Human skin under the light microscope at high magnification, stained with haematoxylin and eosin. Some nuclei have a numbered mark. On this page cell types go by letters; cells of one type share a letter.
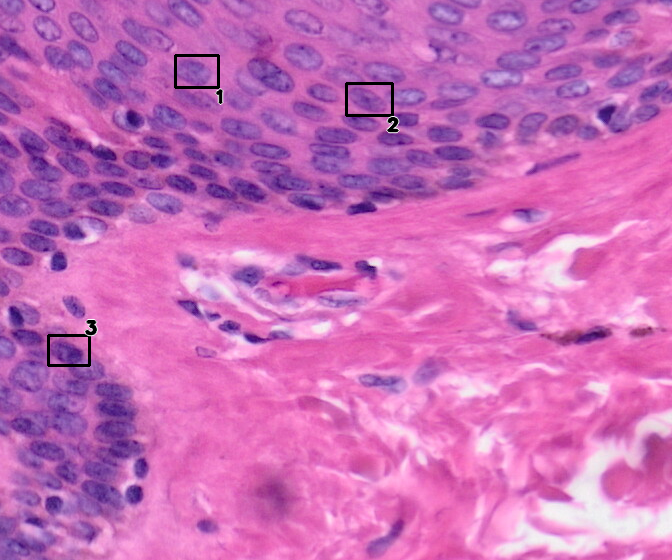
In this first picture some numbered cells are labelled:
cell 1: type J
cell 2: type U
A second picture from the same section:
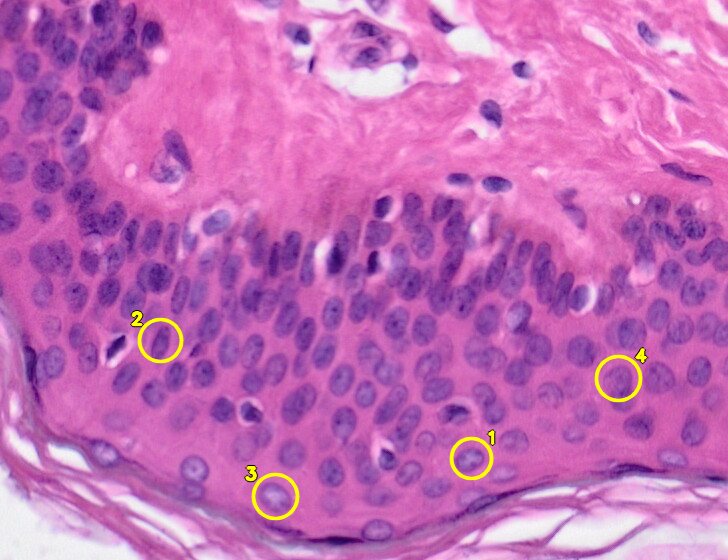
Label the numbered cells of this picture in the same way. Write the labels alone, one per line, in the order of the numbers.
type J
type U
type J
type J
